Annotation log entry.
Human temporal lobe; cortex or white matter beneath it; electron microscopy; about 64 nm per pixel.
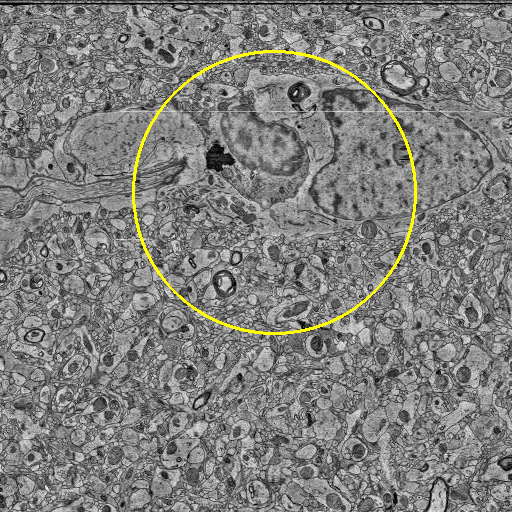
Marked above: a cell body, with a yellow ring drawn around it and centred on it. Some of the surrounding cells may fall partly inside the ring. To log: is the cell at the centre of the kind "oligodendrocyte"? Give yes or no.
Yes, the cell at the centre is of that kind.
